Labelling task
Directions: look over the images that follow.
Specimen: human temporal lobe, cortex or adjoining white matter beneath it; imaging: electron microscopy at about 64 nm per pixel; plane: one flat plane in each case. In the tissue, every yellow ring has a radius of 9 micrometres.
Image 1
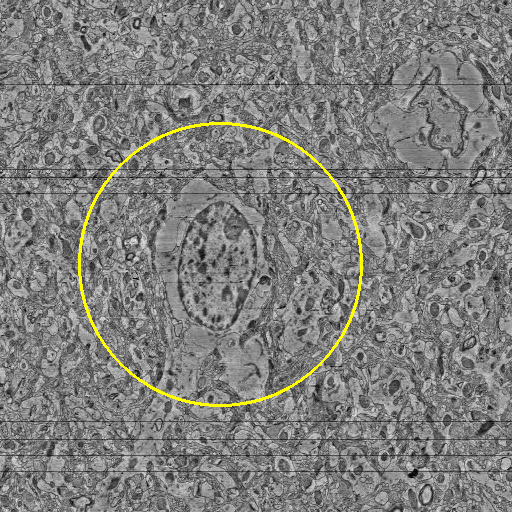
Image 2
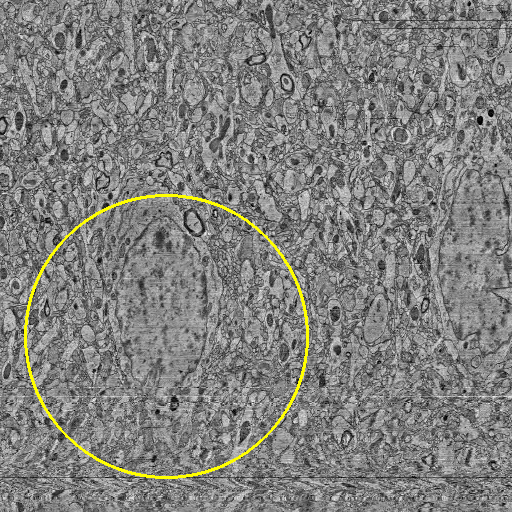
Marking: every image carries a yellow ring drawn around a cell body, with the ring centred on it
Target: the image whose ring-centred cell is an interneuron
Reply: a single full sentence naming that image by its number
The requested cell sits at the ring's centre in Image 2.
